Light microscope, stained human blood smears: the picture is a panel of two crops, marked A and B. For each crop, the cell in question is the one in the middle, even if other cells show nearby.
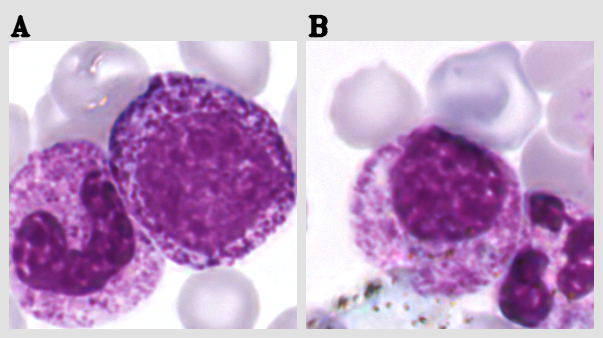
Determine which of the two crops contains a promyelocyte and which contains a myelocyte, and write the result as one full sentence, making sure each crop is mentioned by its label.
Crop A is a promyelocyte, and, separately, crop B is a myelocyte.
